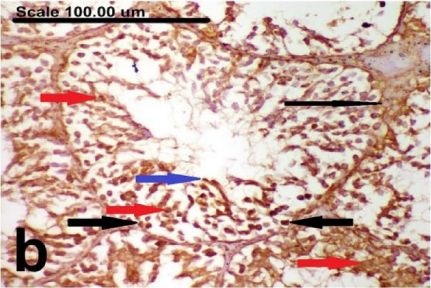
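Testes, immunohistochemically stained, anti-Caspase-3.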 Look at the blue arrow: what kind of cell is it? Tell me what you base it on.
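Spermatids. The arrowed cell lies near the lumen of the tubule. It is smaller than the cells of the middle layers.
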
